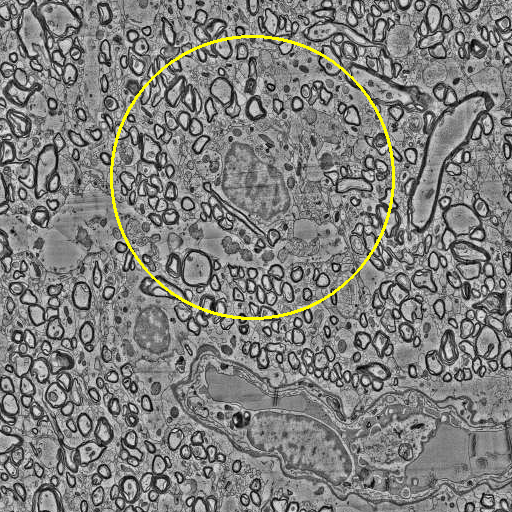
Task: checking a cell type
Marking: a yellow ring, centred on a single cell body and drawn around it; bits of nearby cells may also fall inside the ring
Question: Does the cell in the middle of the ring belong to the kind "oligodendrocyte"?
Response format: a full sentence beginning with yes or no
Yes, the cell marked at the ring's centre in the picture is of that kind.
